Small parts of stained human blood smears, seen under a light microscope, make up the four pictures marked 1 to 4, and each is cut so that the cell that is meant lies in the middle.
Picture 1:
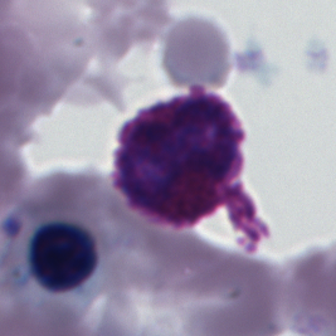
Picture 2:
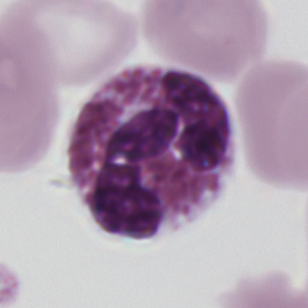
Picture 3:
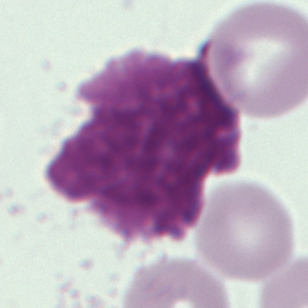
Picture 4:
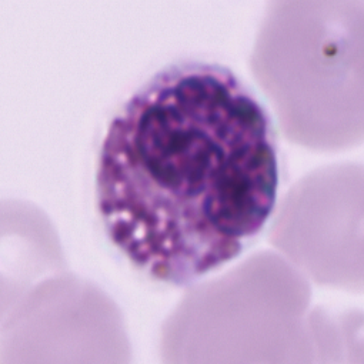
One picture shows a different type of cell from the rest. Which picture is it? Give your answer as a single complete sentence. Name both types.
The others show eosinophils, but picture 3 shows a smudge cell.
